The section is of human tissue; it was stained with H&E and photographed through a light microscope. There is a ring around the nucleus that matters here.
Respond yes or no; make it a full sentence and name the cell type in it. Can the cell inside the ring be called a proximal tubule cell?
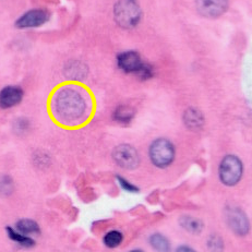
Yes, the naming of the cell inside the ring as a proximal tubule cell is correct.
